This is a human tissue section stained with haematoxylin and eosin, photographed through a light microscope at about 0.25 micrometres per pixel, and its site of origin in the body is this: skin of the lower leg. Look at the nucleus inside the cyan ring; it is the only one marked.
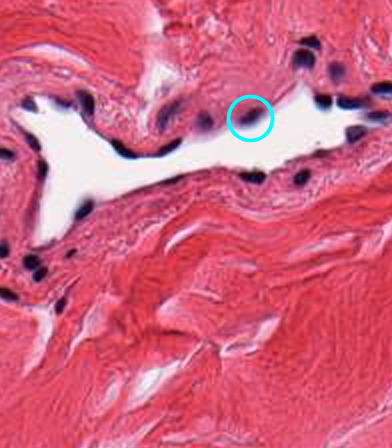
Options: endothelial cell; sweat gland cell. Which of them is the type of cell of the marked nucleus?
endothelial cell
